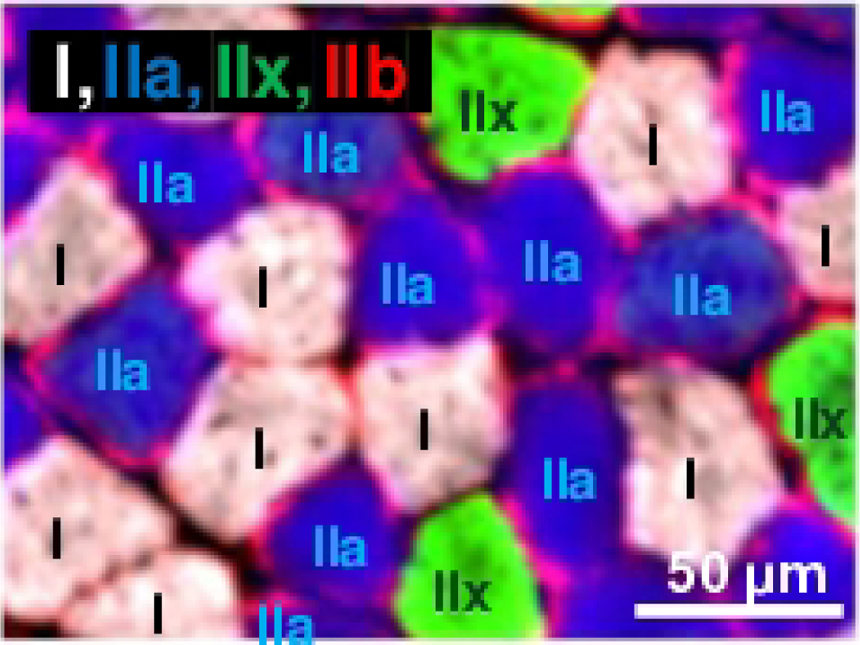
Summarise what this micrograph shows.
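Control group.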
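Cross-section of skeletal muscle showing tightly packed muscle fibers cut transversely, each a polygonal profile filled uniformly with one colour. Pale white-pink fibers and blue fibers make up most of the field and are interspersed in a mosaic, with a few bright green fibers scattered among them. Fibers are of roughly similar size and abut one another closely, separated only by thin reddish-pink rims along their borders. Some fibers show fine dark speckling within their cytoplasm. No red-filled fibers are evident in the field.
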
